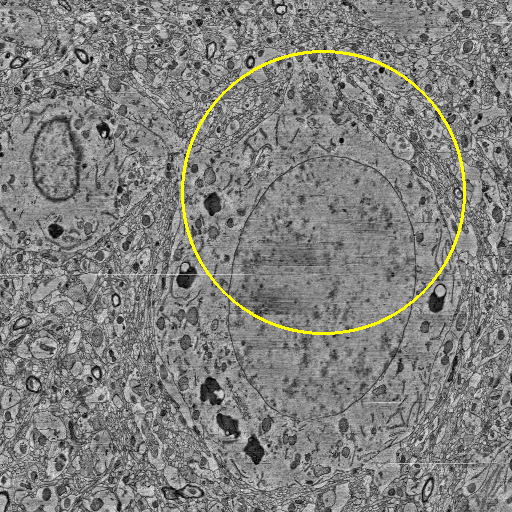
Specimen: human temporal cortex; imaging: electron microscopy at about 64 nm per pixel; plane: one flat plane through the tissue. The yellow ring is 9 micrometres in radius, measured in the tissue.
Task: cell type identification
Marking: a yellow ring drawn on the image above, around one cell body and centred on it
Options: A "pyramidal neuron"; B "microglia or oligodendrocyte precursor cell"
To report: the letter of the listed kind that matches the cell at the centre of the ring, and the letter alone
A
